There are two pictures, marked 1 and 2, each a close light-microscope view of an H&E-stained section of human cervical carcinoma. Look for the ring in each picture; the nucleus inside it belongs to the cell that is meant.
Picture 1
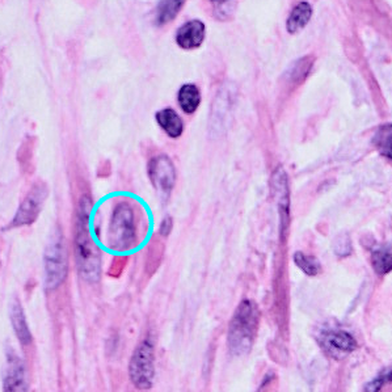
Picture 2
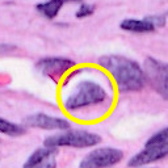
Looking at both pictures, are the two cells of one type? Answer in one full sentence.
Yes, both cells are endothelial cells.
